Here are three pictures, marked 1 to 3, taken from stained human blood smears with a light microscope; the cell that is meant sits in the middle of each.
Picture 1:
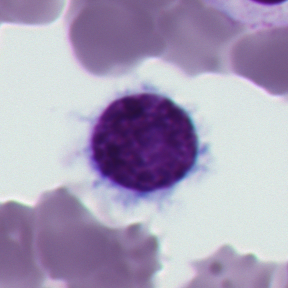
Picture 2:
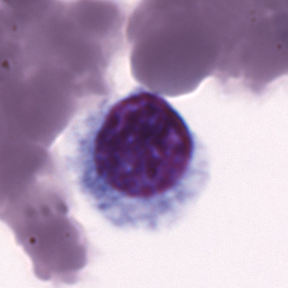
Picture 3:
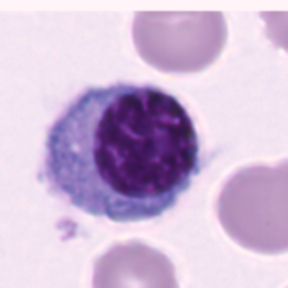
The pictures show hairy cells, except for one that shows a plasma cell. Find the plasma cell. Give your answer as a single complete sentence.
The plasma cell is the one in picture 3.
